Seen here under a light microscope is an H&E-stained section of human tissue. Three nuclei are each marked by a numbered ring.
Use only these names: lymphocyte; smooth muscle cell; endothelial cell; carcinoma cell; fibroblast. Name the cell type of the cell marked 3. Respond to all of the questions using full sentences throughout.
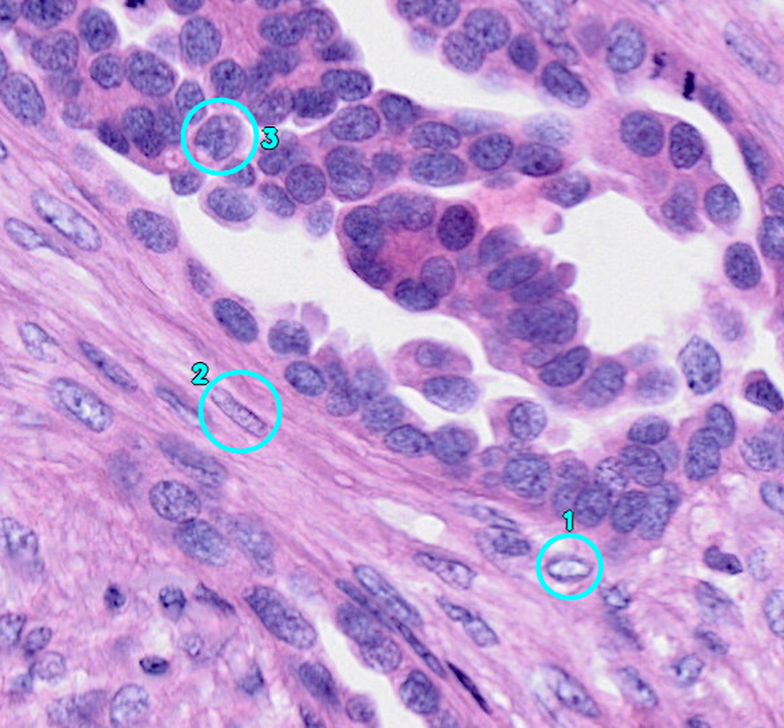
Recognised here as a carcinoma cell is the cell numbered 3.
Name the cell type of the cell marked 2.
Here the cell numbered 2 is a fibroblast.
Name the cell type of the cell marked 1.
The cell to which the number 1 is assigned is a fibroblast.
